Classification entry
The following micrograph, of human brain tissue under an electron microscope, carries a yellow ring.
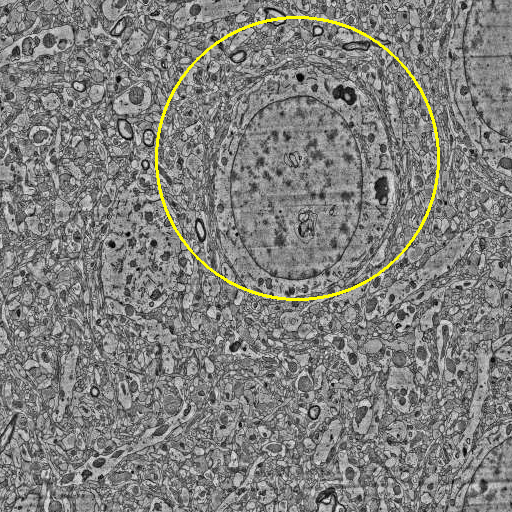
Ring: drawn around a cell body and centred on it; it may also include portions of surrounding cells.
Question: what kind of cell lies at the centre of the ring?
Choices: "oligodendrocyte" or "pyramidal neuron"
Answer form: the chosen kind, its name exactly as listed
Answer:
pyramidal neuron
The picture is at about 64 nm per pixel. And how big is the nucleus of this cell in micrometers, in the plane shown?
Roughly 12 by 9 micrometres is the size of the nucleus in this plane.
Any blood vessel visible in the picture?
No, no blood vessel shows in the picture.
